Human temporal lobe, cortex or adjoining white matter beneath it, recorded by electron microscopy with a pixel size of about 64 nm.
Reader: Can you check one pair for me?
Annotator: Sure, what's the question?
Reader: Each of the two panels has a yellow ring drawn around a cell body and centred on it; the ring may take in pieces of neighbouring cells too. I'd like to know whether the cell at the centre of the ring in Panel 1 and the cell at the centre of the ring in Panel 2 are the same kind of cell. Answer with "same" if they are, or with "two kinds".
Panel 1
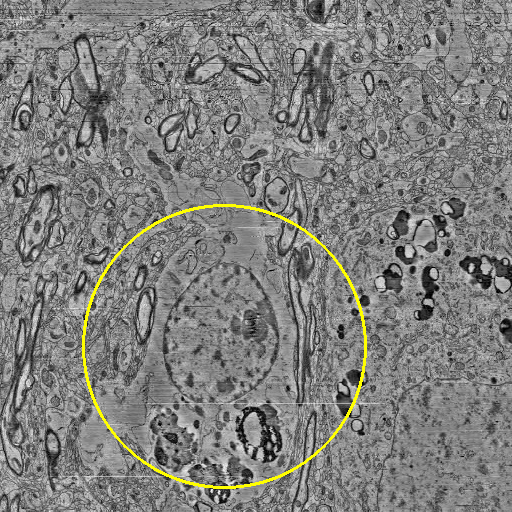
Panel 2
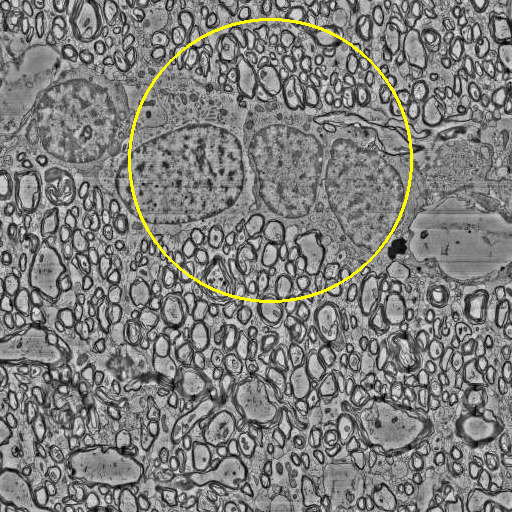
two kinds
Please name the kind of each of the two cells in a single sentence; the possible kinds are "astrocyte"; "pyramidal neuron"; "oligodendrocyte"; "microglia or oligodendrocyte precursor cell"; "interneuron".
In the first picture the ring is centred on an astrocyte, and in the second on an oligodendrocyte.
